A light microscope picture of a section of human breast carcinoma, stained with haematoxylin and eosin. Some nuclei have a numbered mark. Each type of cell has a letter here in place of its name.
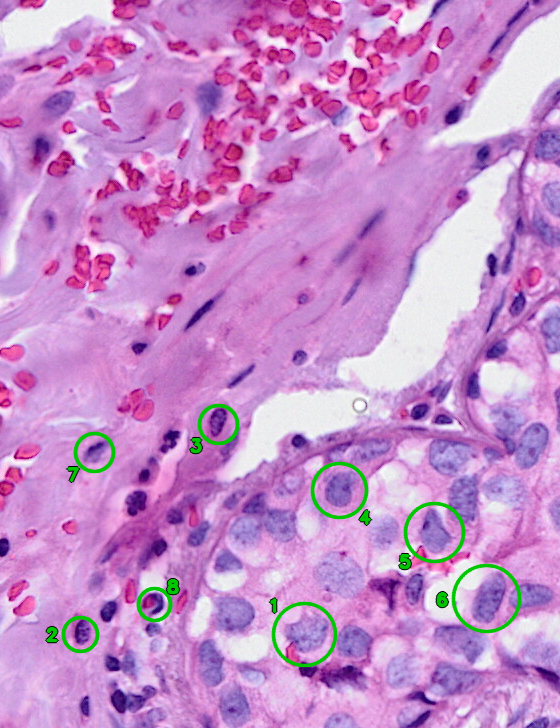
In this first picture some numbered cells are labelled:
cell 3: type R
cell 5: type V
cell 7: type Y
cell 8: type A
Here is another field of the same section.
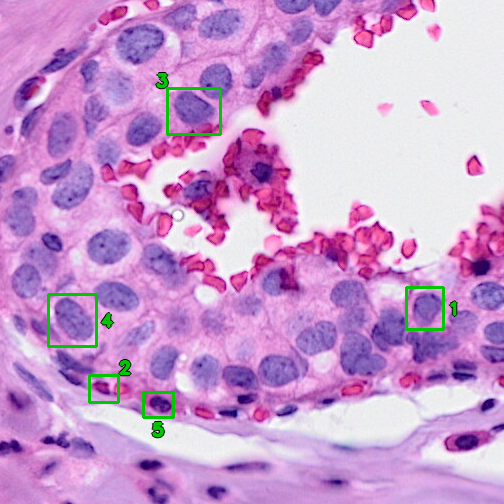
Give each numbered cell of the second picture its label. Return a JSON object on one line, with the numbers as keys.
{"1": "type V", "2": "type A", "3": "type V", "4": "type V", "5": "type R"}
